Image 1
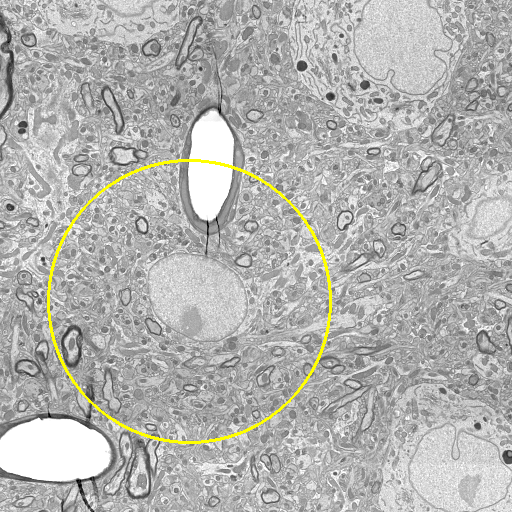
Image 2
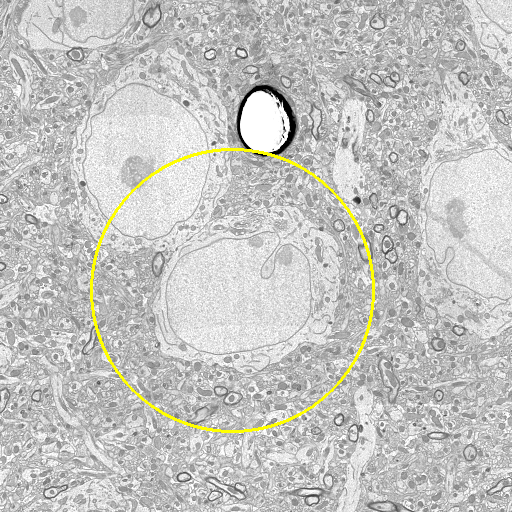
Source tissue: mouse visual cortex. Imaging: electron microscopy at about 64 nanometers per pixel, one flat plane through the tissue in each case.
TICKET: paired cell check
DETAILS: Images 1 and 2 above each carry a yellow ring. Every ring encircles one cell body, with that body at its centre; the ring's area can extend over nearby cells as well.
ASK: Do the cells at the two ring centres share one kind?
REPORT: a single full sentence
No, the ring-centre cells of Images 1 and 2 belong to two kinds.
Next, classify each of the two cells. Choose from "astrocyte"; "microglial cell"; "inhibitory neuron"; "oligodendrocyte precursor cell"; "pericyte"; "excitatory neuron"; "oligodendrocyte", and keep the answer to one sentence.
In the first picture it is an astrocyte; in the second it is an excitatory neuron.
